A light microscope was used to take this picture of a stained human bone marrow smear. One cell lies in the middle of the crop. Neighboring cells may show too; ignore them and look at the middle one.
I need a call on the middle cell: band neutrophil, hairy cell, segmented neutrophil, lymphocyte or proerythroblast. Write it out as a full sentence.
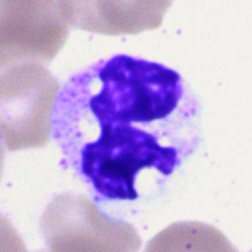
The cell under consideration, at the middle of the crop, is a segmented neutrophil.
